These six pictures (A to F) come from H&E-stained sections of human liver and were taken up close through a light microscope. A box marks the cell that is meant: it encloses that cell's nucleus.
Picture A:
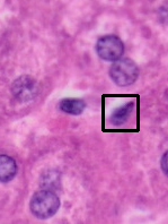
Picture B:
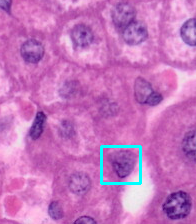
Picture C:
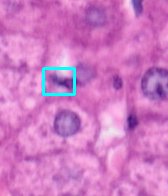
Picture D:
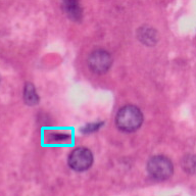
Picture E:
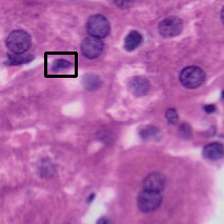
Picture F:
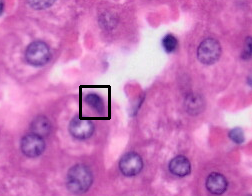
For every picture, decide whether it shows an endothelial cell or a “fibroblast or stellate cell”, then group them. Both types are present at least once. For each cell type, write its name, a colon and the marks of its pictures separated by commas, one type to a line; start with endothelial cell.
endothelial cell: A, B, C
fibroblast or stellate cell: D, E, F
